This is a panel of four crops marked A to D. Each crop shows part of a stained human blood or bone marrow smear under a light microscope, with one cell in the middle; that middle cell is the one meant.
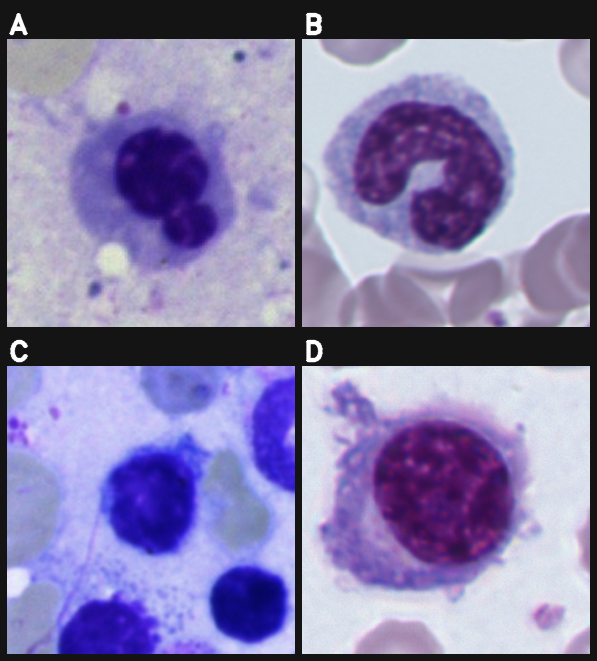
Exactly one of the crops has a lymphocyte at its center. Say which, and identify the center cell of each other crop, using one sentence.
The cell occupying crop C is a lymphocyte, whereas crop A is an erythroblast, crop B is a monocyte and crop D is a plasma cell.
